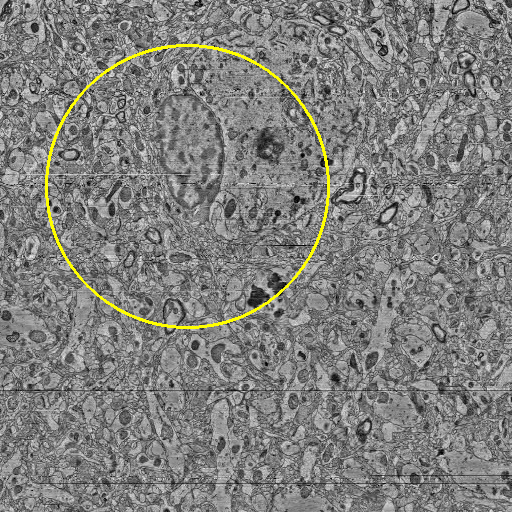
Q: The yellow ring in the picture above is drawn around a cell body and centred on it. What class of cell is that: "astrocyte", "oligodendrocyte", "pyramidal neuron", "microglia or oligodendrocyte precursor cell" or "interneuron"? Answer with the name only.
oligodendrocyte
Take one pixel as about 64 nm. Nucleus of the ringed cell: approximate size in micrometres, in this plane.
About 7 by 4 micrometres in this plane; clearly longer than it is wide.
